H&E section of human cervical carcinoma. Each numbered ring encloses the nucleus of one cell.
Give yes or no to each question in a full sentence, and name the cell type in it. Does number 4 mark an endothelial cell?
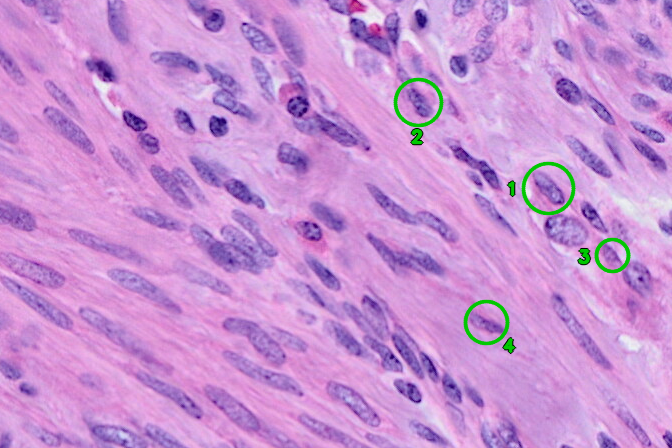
No, the cell denoted 4 is a smooth muscle cell rather than an endothelial cell.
